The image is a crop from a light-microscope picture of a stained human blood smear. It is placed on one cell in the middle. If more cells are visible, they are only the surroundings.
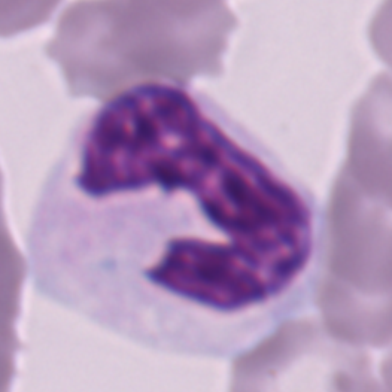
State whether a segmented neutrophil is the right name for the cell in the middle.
no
